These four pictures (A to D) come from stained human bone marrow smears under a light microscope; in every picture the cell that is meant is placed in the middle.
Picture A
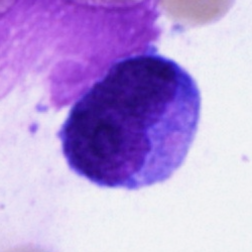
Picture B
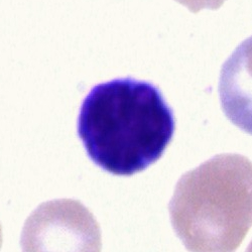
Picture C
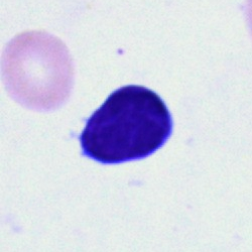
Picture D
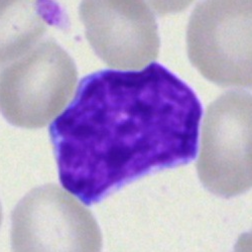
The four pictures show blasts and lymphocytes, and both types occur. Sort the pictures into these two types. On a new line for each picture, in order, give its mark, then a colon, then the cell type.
A: blast
B: lymphocyte
C: lymphocyte
D: blast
